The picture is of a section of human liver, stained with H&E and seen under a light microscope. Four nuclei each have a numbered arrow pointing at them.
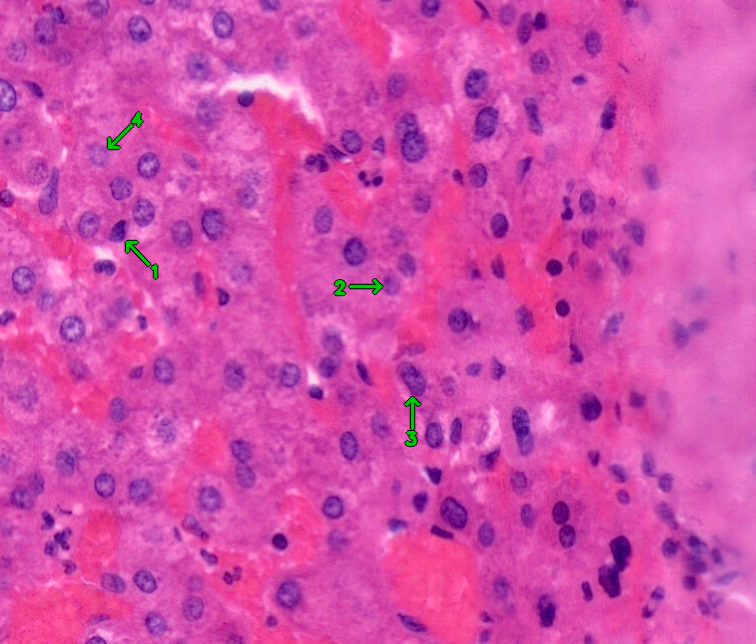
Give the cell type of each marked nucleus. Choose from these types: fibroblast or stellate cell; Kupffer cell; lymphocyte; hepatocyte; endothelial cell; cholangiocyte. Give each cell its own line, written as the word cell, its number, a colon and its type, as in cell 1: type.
cell 1: fibroblast or stellate cell
cell 2: hepatocyte
cell 3: hepatocyte
cell 4: hepatocyte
